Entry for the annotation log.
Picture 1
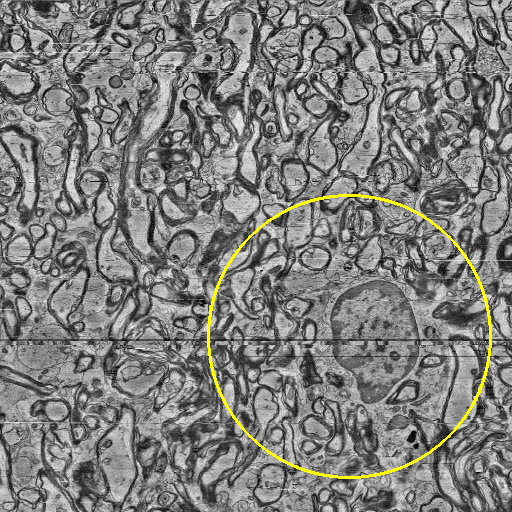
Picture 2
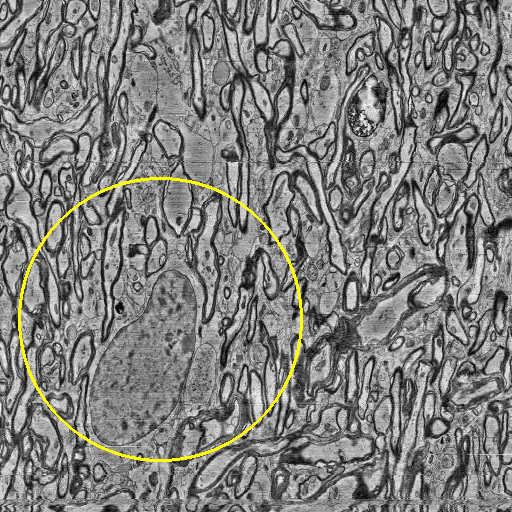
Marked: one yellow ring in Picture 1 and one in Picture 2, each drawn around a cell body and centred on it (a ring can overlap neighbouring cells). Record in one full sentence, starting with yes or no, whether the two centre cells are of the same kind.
Yes, both cells are of the same kind.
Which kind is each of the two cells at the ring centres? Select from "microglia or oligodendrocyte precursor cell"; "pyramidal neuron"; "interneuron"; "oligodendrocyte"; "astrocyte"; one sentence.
Each one of the two ringed cells is a microglial cell or oligodendrocyte precursor cell.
